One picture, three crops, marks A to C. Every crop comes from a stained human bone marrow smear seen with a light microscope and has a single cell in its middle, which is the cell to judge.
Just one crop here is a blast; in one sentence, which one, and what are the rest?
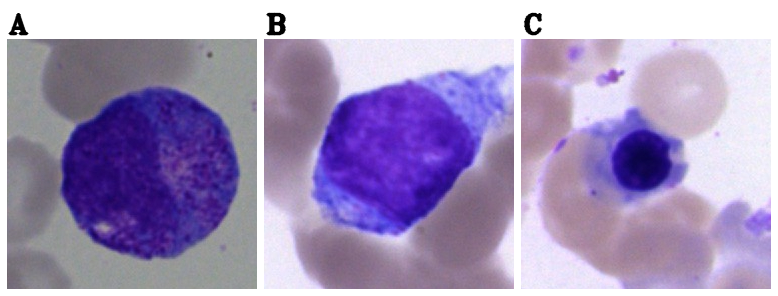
The cell sitting in crop B is a blast, while crop A is a promyelocyte and crop C is an erythroblast.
